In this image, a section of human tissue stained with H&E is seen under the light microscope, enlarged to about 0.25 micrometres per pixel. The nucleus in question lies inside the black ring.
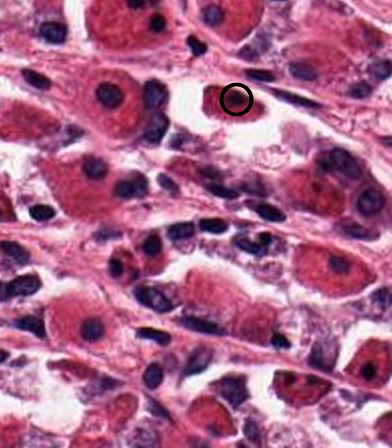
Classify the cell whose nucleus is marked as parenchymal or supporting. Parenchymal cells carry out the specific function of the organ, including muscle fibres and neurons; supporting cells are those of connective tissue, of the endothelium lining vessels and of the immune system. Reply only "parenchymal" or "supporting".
parenchymal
